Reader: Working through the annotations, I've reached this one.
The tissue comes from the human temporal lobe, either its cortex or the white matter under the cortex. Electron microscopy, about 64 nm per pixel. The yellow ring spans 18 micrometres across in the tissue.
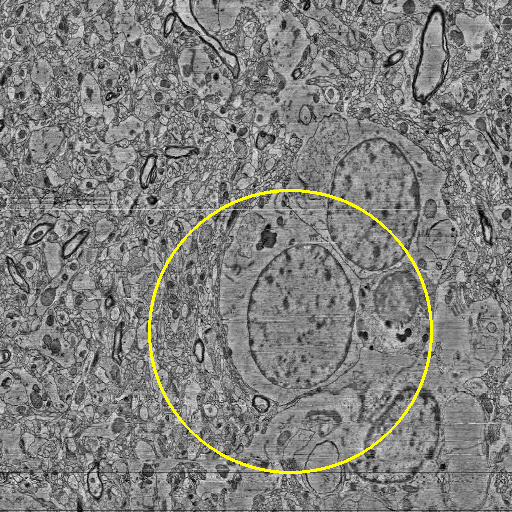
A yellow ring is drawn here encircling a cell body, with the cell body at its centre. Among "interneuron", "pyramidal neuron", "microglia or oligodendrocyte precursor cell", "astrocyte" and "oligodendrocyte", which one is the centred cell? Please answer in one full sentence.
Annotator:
The cell body at the centre of the yellow ring in this image belongs to an astrocyte.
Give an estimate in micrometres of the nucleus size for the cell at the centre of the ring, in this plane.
The nucleus measures about 10 by 7 micrometres in this plane.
